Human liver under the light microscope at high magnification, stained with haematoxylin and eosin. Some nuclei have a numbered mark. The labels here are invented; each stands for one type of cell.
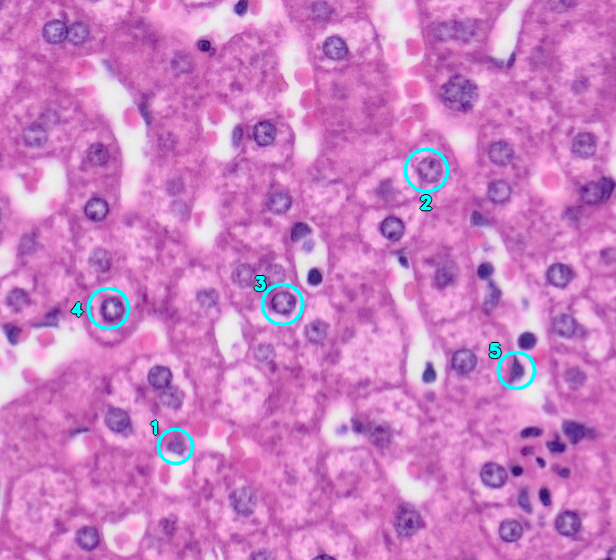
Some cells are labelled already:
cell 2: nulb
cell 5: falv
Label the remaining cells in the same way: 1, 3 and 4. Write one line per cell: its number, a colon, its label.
1: falv
3: nulb
4: nulb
